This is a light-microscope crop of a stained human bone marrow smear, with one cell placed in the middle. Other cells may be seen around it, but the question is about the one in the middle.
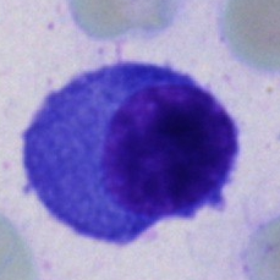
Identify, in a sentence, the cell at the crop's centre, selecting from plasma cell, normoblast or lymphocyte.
To answer, the cell in the center of the crop is a plasma cell.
